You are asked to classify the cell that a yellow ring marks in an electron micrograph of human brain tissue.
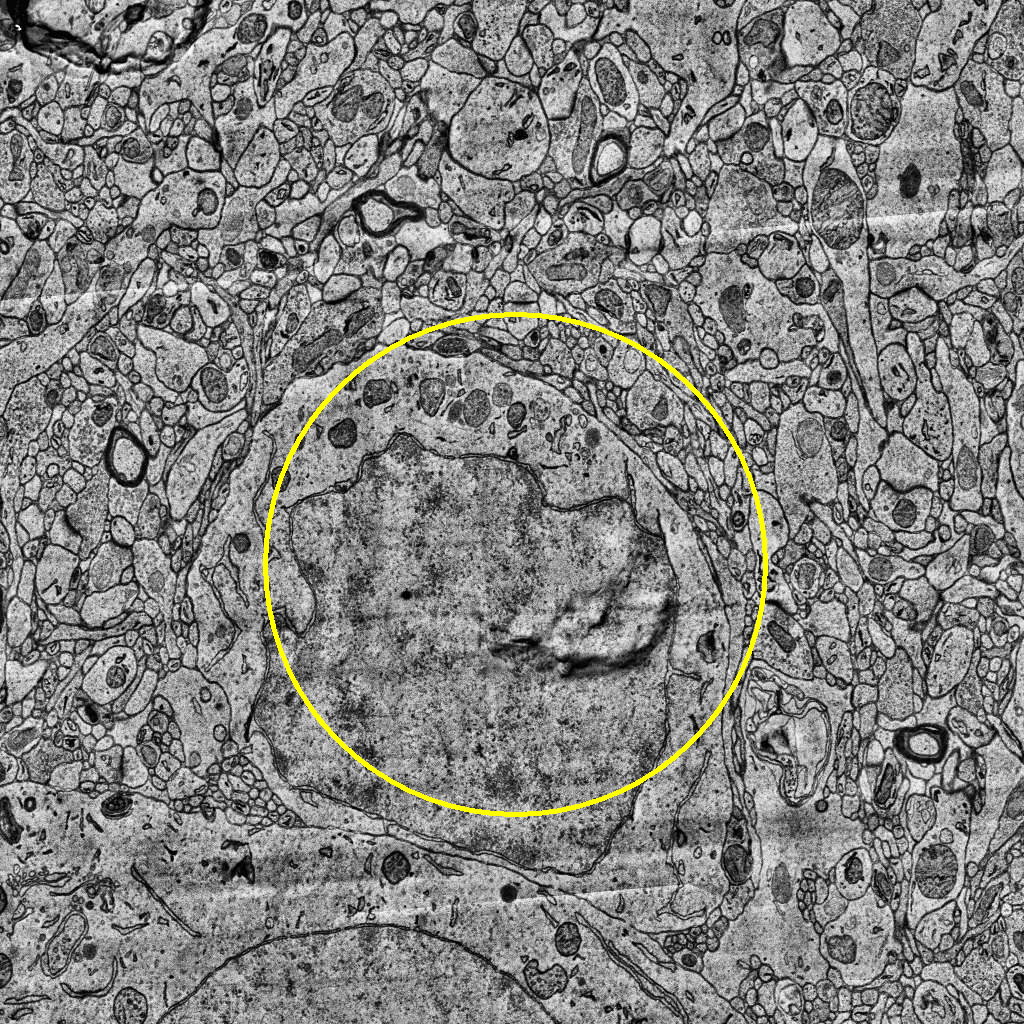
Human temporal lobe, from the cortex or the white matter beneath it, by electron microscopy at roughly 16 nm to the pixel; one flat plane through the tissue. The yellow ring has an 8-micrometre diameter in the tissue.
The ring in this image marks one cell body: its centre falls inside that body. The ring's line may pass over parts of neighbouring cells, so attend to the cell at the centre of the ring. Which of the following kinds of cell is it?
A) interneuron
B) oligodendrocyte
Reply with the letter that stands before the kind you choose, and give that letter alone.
A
